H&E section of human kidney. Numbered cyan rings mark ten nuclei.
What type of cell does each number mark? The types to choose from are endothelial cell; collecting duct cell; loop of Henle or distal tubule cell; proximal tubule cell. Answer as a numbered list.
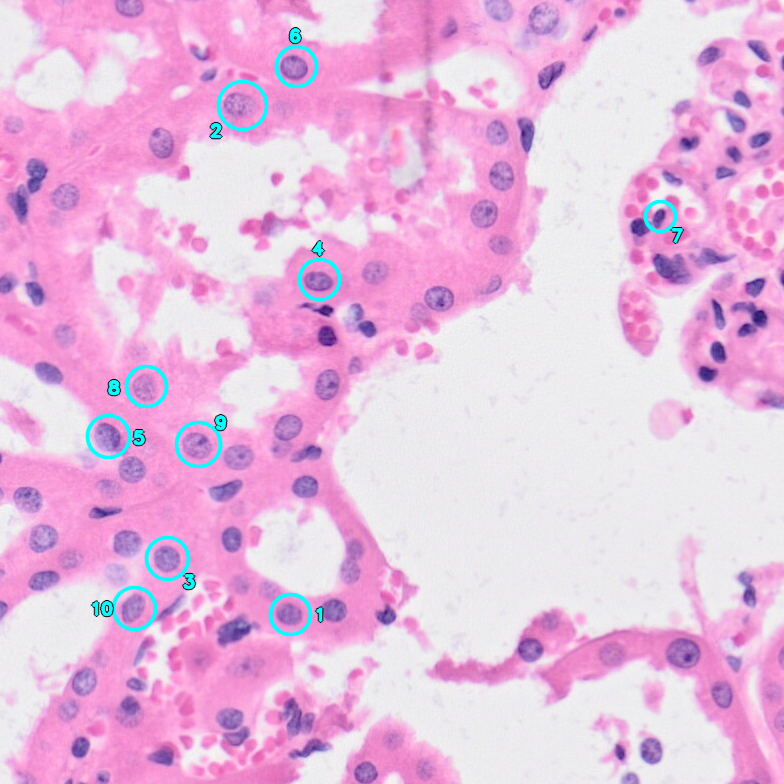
1. loop of Henle or distal tubule cell
2. proximal tubule cell
3. loop of Henle or distal tubule cell
4. proximal tubule cell
5. loop of Henle or distal tubule cell
6. proximal tubule cell
7. endothelial cell
8. proximal tubule cell
9. proximal tubule cell
10. loop of Henle or distal tubule cell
